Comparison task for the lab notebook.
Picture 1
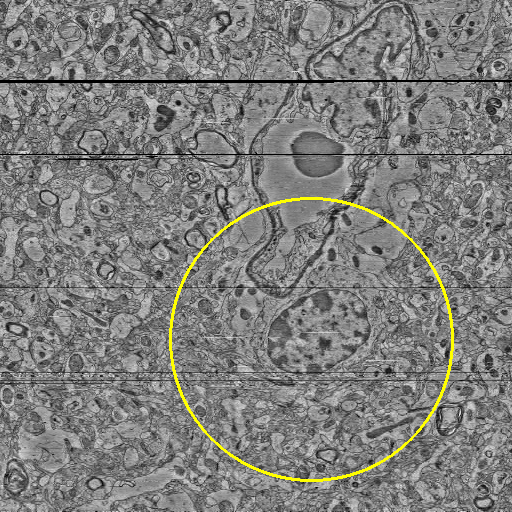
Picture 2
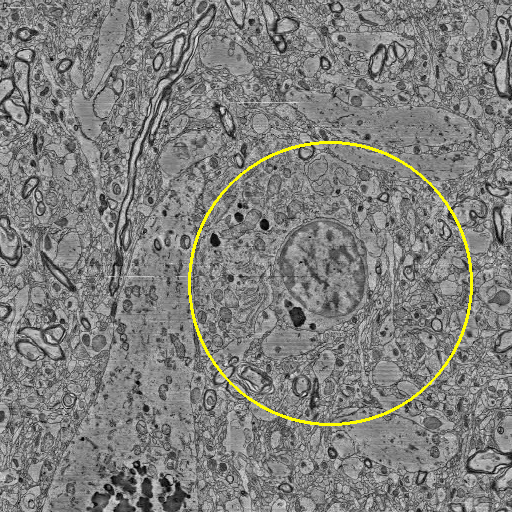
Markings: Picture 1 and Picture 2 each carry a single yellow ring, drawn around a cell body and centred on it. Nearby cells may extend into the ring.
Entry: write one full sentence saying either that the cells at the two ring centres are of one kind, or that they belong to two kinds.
The cells sitting at the ring centres in Picture 1 and Picture 2 belong to two kinds.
